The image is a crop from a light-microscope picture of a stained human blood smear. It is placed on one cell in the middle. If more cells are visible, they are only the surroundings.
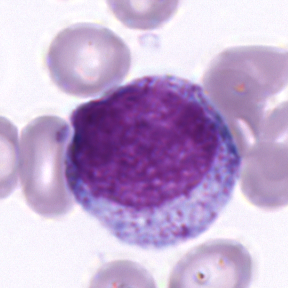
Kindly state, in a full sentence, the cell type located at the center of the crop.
The center cell of this crop is a promyelocyte.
